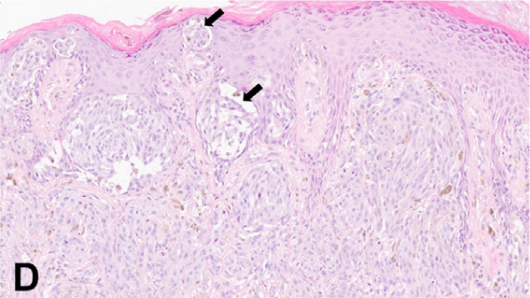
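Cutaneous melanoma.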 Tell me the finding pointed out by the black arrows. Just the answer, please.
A: Separation from the surrounding epidermis.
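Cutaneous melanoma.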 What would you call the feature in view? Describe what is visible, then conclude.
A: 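Epidermal and dermal nests of epithelioid and spindled melanocytes. Rounded nests of pale cells sit at the junction and in the upper dermis. Some cells are plump and polygonal, others elongated. Scattered brown pigment lies among the nests.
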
